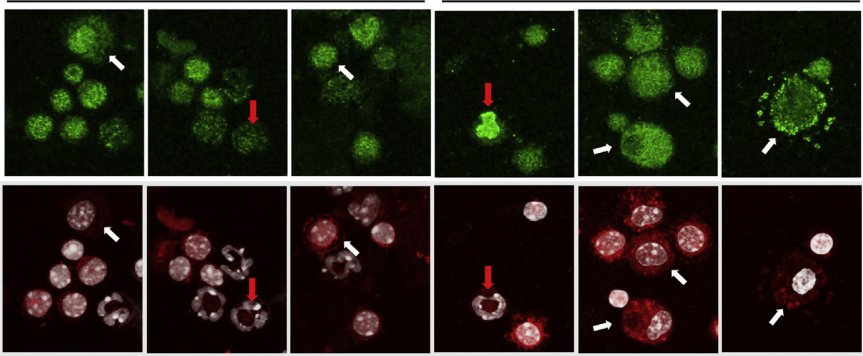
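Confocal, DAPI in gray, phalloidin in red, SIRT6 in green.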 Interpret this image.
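Most have a single round gray nucleus with brighter dots within it. A few have a lobed or ring-shaped nucleus made of several connected segments. The green lies mostly within the nuclei as a speckled fill. In some cells green also forms discrete bright dots in the cytoplasm and around the cell edge, and a few cells are far brighter green than their neighbours.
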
